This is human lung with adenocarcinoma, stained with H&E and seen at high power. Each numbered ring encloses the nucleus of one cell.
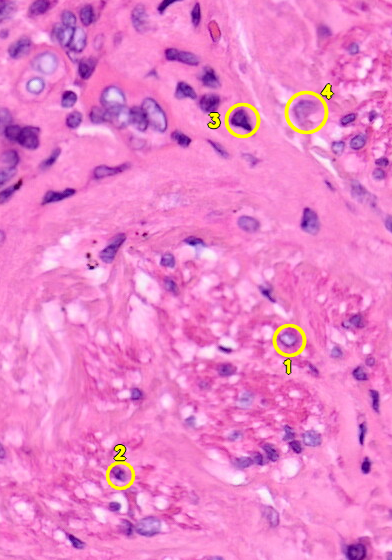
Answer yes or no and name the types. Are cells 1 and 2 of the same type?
Yes, cell 1 is one of the smooth muscle cells or pericytes, and so is cell 2.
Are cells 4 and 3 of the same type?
No, cell 4 is a fibroblast, with cell 3 being a plasma cell.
